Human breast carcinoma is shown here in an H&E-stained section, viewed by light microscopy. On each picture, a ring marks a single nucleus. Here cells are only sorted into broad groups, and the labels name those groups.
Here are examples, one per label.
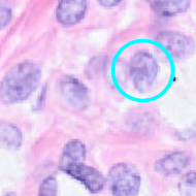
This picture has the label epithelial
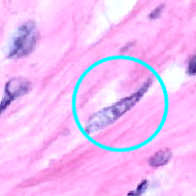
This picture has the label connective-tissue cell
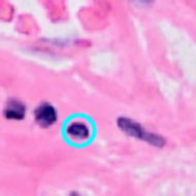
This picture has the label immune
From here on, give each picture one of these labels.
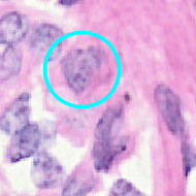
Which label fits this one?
epithelial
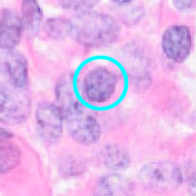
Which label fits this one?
epithelial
